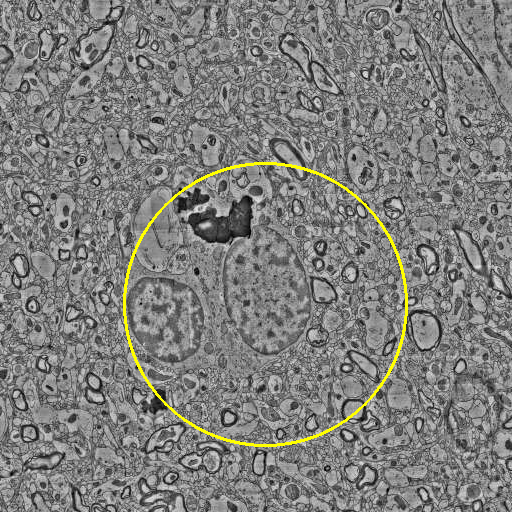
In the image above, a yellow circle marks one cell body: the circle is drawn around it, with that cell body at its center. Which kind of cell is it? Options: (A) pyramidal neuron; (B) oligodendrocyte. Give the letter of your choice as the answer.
B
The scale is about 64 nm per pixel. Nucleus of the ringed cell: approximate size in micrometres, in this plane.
Roughly 8 by 6 micrometres is the size of the nucleus in this plane.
